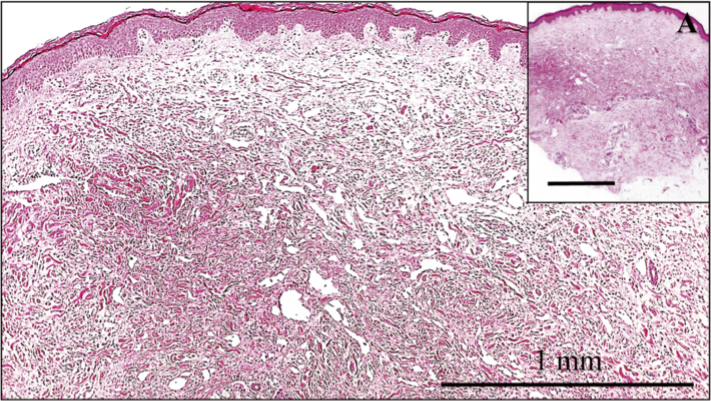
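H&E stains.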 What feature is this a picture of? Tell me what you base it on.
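Many irregular, slit-like and open empty spaces are scattered through the dermis. The spaces are most numerous in the middle and lower part of the dermis. Some spaces appear to connect with one another.
Irregular and sometimes anastomosing vascular structures.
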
